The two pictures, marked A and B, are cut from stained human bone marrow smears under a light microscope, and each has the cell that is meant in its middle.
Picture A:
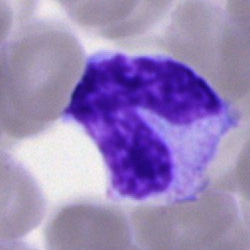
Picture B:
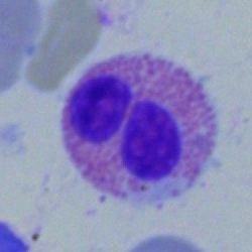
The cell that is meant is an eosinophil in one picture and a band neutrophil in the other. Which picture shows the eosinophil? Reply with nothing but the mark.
B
